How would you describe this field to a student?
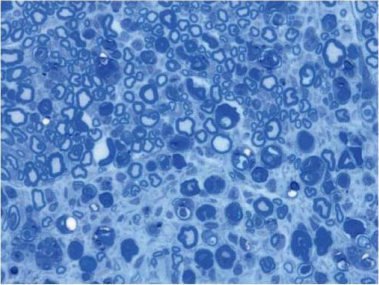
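Many fibers appear as dark blue rings of myelin around pale axons, and they vary in size and shape. A number of profiles are irregular, collapsed, or filled with dark blue material rather than showing a clear ring.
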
